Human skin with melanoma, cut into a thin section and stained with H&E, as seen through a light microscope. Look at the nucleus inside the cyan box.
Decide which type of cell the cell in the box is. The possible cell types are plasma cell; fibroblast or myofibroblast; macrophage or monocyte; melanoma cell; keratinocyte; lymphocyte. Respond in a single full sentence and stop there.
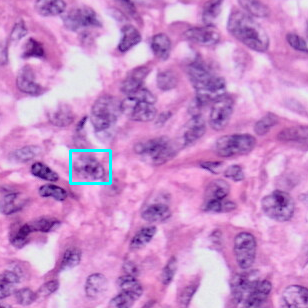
Histopathologically, the cell in the box is a melanoma cell.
